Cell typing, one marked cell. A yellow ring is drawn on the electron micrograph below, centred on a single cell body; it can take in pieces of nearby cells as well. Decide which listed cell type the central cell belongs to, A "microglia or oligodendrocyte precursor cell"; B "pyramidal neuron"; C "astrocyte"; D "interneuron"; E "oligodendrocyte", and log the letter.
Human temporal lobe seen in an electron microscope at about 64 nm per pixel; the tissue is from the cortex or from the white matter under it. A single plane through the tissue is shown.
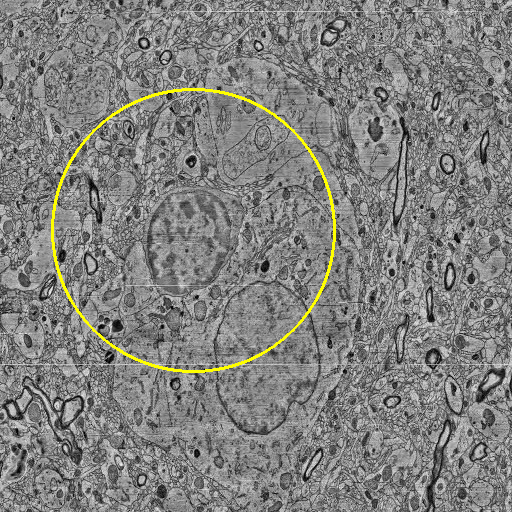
E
